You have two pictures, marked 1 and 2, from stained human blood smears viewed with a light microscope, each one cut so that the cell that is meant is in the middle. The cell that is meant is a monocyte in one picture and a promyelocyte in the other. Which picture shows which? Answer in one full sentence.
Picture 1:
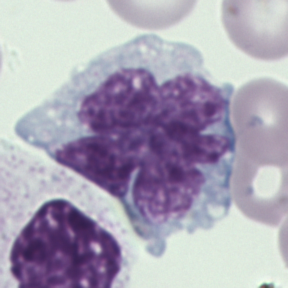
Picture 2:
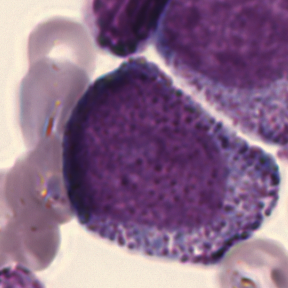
In picture 1 the cell is a monocyte; in picture 2, a promyelocyte.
